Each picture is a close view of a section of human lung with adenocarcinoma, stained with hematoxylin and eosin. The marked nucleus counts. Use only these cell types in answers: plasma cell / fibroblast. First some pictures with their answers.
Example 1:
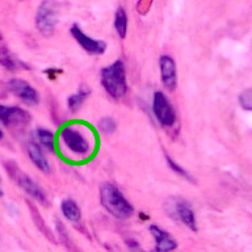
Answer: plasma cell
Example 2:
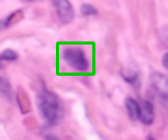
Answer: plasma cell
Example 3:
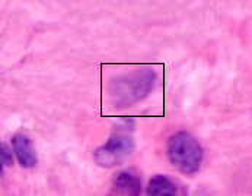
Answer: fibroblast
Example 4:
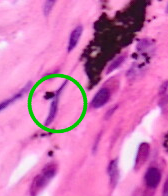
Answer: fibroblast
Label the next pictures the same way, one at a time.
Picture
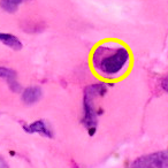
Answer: plasma cell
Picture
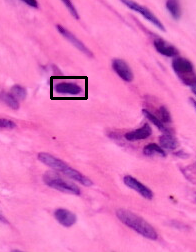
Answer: plasma cell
